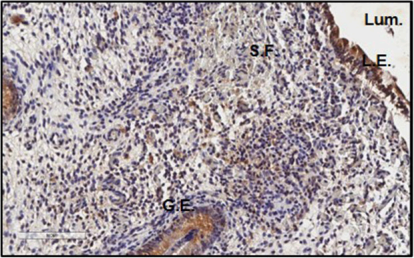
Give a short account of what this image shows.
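This section of endometrium shows the luminal epithelium at the upper right, stromal fibroblasts filling the field, and a gland lined by glandular epithelium at the lower left. The surface epithelium is a row of columnar cells with brown-stained cytoplasm bordering the open lumen. The gland epithelium also shows brown cytoplasm around its cut lumen. The stroma consists of spindle-shaped and oval cells with blue nuclei, loosely arranged in places with pale spaces between them; scattered cells and patches show light brown cytoplasmic staining, with a denser cellular cluster in the centre.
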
